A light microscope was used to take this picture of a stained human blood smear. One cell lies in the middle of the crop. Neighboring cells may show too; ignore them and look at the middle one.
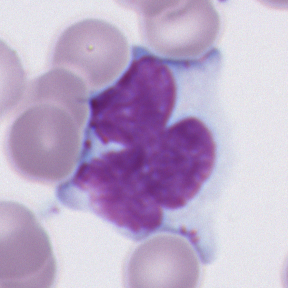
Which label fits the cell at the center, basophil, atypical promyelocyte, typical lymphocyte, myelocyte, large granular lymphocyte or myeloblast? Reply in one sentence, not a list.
Looking at the middle of the crop, the cell there is a large granular lymphocyte.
